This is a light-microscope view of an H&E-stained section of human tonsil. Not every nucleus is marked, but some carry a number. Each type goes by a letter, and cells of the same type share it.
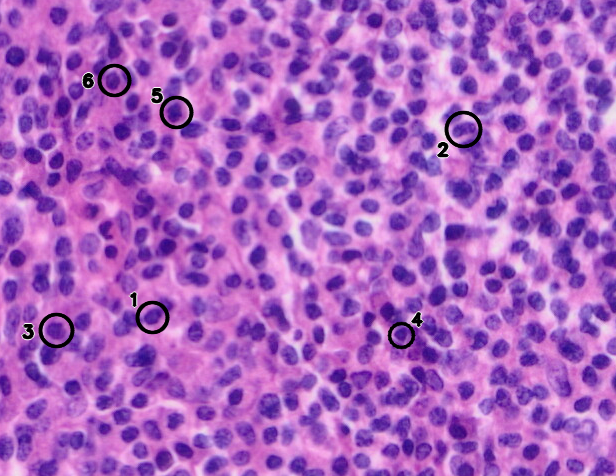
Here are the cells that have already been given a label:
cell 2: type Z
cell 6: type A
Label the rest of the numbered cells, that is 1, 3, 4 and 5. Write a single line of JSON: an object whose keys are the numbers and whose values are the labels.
{"1": "type A", "3": "type A", "4": "type Z", "5": "type A"}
